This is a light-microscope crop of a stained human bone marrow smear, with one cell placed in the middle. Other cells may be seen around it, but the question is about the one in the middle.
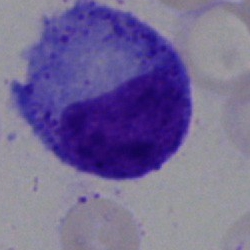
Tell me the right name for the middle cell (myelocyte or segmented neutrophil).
myelocyte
